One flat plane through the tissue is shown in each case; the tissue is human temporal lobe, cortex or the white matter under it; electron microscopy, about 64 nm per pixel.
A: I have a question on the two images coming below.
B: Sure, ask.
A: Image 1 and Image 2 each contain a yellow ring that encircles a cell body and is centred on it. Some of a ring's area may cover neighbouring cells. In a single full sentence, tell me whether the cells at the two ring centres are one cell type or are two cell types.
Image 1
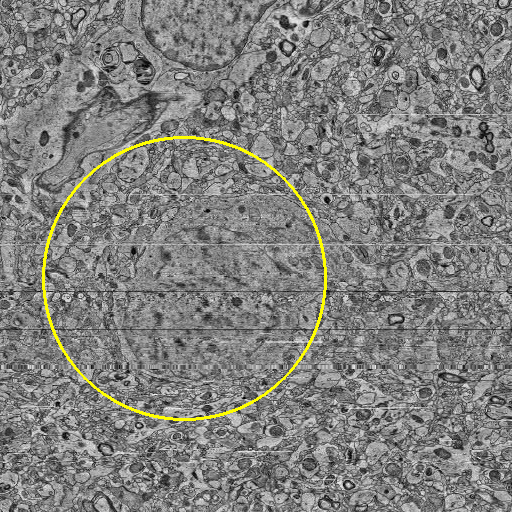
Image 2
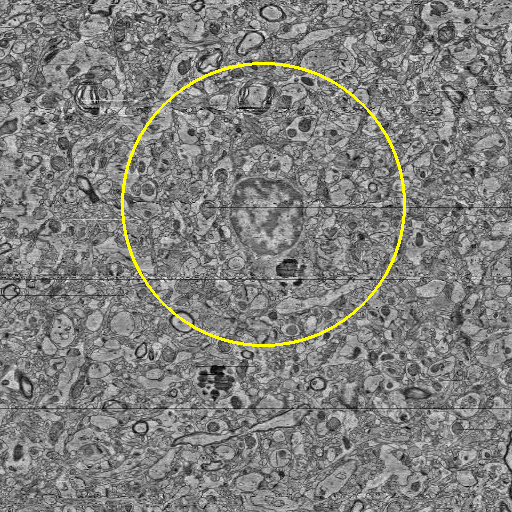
As for the ring-centre cells, the one in Image 1 and the one in Image 2 are two cell types.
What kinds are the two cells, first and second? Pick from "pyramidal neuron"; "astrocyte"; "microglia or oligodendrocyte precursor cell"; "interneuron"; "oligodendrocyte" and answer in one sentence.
The second picture holds an oligodendrocyte in its ring, and the first holds an interneuron.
